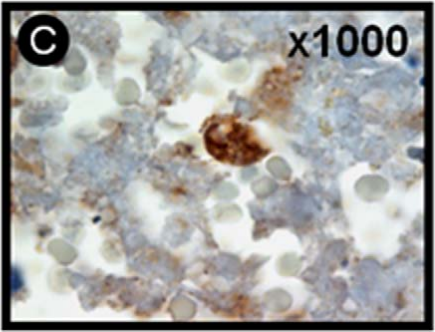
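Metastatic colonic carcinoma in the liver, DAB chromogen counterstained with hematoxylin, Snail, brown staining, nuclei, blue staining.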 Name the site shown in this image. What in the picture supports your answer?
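Mostly pale, amorphous grey-blue debris without clear cell outlines. Few or no intact nuclei. Scattered round pale bodies lying free in the debris. On this evidence: the necrotic core region of the tumor.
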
